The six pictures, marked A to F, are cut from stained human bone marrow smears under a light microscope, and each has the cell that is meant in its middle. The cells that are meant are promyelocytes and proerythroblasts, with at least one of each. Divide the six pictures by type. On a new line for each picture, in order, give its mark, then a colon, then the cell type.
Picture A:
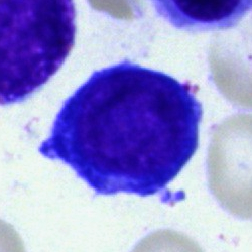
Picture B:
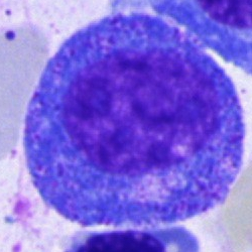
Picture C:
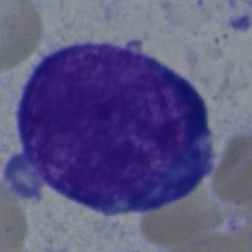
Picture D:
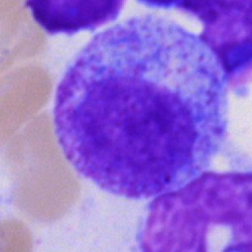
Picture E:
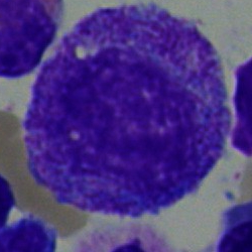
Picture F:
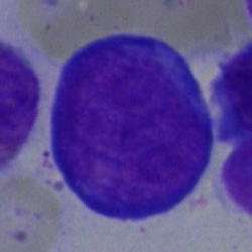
A: proerythroblast
B: promyelocyte
C: proerythroblast
D: promyelocyte
E: promyelocyte
F: proerythroblast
